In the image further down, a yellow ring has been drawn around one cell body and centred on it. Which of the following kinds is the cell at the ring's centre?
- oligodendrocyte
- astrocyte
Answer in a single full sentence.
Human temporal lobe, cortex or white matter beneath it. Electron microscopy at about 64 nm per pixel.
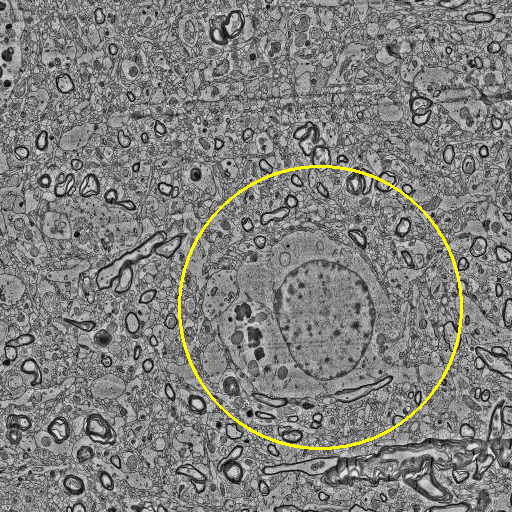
In the picture, the cell sitting at the centre of the yellow ring is an astrocyte.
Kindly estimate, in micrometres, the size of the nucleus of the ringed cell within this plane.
The nucleus has a long axis of about 8 micrometres and a short axis of about 6 micrometres in this plane.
